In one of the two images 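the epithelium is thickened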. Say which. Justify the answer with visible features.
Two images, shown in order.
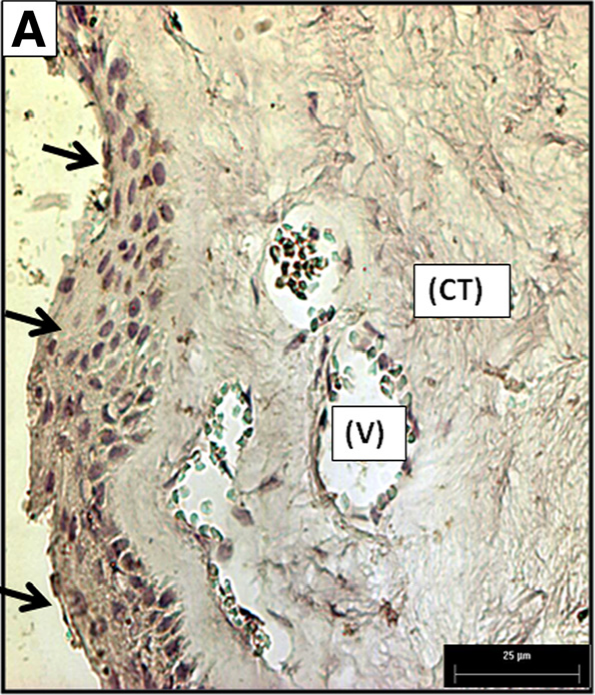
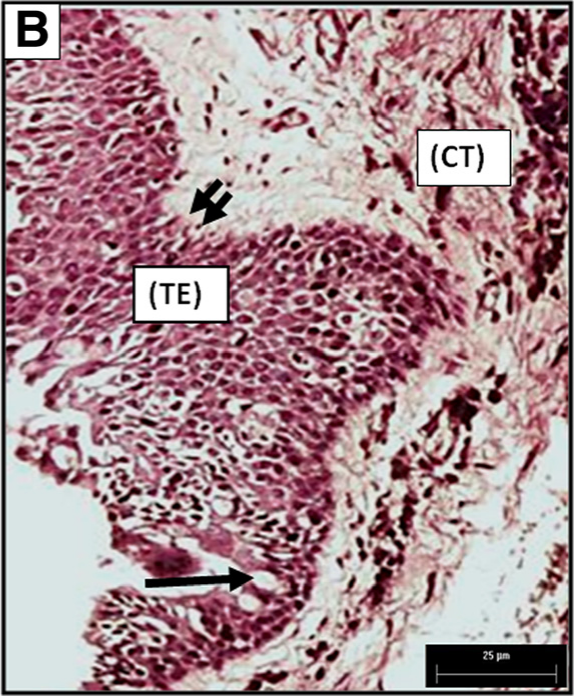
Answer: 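The second image. Second image: the epithelium forms a broad band many cells thick occupying much of the field. First image: the epithelium is a thin band only a few cells thick along the edge.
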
